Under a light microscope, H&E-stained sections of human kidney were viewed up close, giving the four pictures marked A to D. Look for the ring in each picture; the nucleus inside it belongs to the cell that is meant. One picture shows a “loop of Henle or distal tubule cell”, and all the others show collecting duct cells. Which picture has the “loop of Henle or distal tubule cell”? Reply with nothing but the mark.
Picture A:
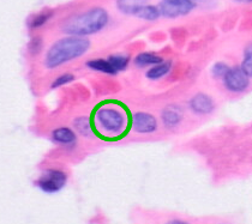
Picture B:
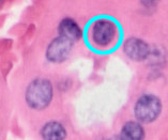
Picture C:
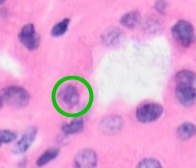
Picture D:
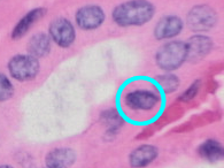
C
